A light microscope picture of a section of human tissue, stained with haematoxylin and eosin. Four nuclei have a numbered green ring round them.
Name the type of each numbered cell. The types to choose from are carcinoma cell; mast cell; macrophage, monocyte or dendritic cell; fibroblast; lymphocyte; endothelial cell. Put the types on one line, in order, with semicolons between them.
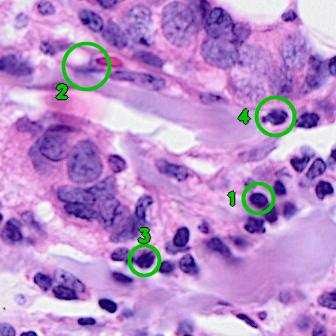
lymphocyte; endothelial cell; lymphocyte; lymphocyte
